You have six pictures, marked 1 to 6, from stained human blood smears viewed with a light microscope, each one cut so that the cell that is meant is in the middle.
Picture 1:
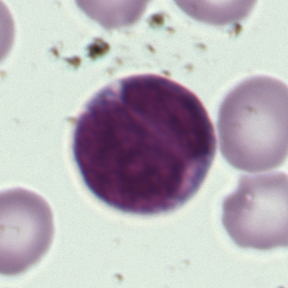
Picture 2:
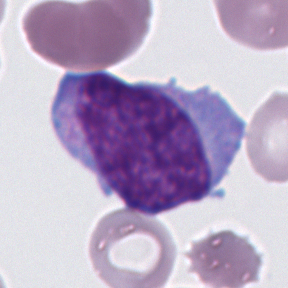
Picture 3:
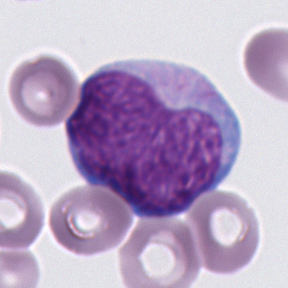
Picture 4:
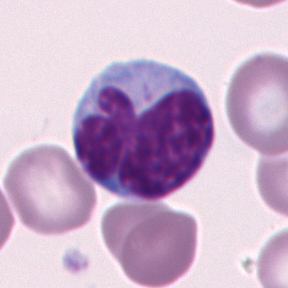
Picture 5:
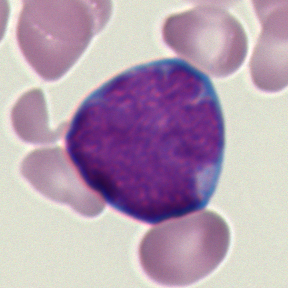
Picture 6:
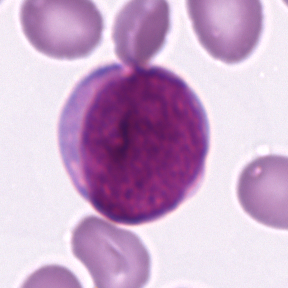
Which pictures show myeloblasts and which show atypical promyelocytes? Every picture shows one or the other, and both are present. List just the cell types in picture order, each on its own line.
myeloblast
atypical promyelocyte
atypical promyelocyte
myeloblast
myeloblast
myeloblast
